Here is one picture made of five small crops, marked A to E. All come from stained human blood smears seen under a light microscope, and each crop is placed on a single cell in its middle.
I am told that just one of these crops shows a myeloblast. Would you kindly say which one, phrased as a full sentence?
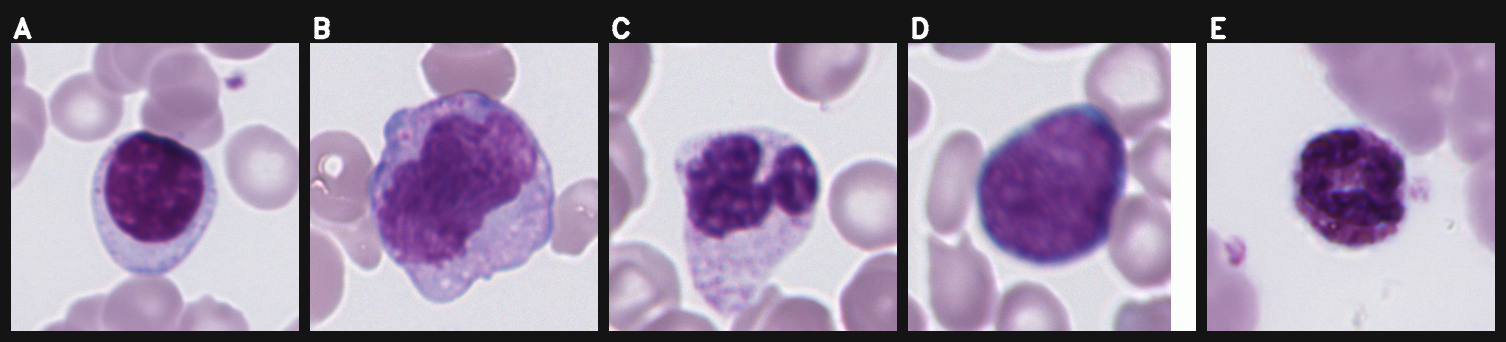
Here the crop that shows a myeloblast is crop D.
